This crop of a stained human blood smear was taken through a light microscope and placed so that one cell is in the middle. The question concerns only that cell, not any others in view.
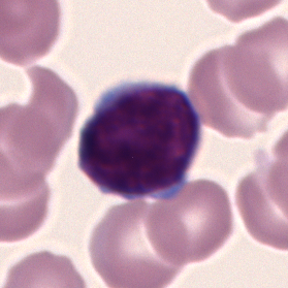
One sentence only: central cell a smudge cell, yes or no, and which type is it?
No, the cell in the middle of the field is a typical lymphocyte, not a smudge cell as suggested.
